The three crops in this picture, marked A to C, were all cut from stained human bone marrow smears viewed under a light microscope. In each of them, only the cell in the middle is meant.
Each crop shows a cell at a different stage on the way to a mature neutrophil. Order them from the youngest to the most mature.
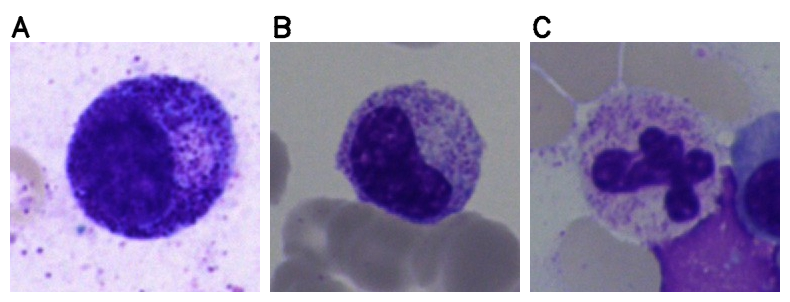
A, B, C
